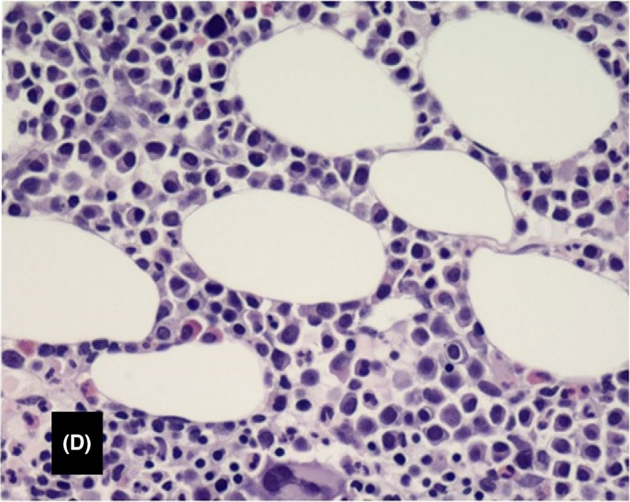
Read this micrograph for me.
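At high power this marrow shows many plasma cells lying in the spaces between large, round, empty fat cells. The cells have round nuclei placed off to one side and a moderate amount of purple cytoplasm.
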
